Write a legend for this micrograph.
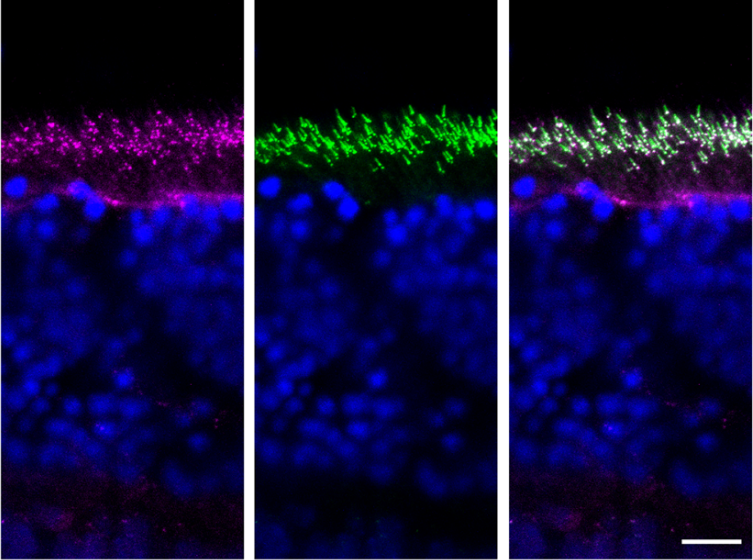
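This is a section through the outer retina, showing the photoreceptor layer from the nuclei up to the level of the connecting cilia. In the lower part a thick band of densely packed round blue nuclei forms the nuclear layer, with a faint magenta line along its upper edge. Above the nuclei lies a narrow band of many short, thin green streaks, each standing roughly perpendicular to the layers and packed side by side. Small magenta dots are scattered through the same band and, in the merged image, sit on the green streaks, appearing white where they overlap. Above this band the outer segment region is dark, with no signal.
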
